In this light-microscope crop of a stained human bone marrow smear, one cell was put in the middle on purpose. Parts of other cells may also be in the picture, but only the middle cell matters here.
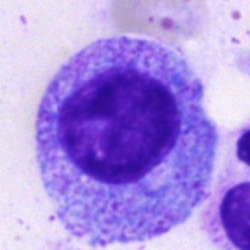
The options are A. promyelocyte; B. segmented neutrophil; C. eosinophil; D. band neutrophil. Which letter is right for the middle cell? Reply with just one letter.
A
